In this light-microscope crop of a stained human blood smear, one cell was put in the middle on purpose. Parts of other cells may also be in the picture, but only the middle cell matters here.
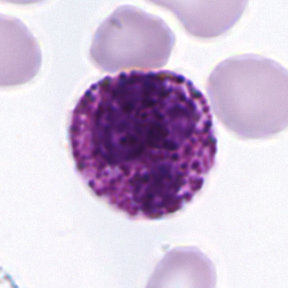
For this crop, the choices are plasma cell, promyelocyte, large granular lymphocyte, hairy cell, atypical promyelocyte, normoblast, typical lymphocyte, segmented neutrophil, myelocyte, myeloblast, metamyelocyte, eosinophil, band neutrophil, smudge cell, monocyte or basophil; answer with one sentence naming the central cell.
By type, the central cell of the crop is a basophil.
